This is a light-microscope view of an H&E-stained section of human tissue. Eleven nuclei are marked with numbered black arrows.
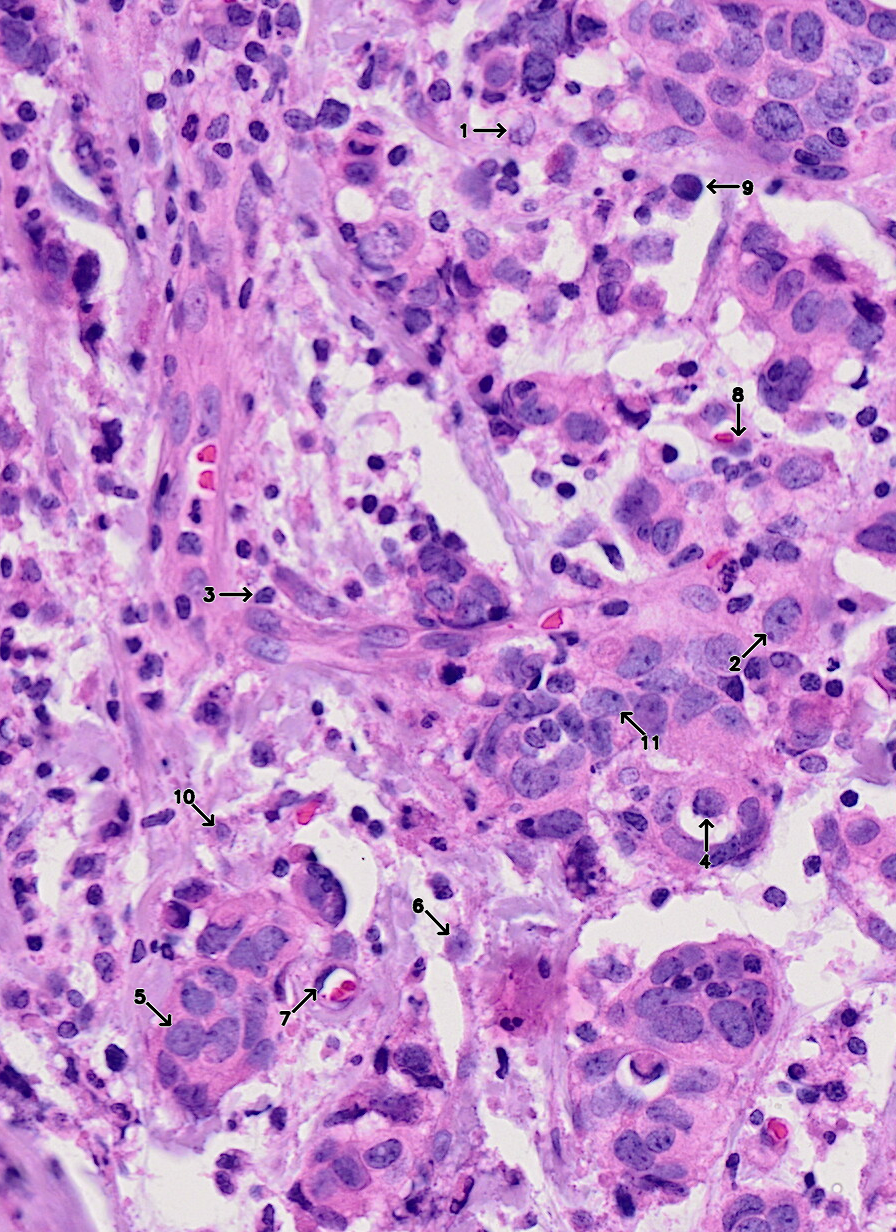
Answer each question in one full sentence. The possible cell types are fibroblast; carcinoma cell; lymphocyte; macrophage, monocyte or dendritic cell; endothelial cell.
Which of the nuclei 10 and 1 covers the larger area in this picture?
It is nucleus 1, which covers about 2.5 times the area of nucleus 10.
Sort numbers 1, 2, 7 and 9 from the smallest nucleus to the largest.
By area, going up from the smallest, they rank 7, 1, 9, 2.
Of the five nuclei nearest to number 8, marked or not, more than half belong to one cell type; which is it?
The majority of the five nuclei closest to number 8 belong to lymphocytes.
